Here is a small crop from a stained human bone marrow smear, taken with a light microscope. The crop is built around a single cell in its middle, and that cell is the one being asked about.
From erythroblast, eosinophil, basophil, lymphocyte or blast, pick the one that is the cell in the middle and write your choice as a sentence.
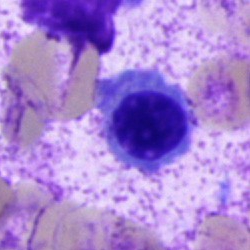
The identification for the central cell is an erythroblast.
